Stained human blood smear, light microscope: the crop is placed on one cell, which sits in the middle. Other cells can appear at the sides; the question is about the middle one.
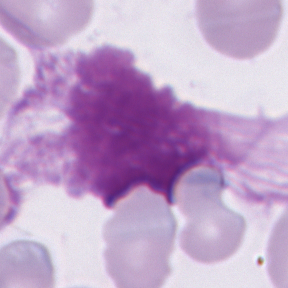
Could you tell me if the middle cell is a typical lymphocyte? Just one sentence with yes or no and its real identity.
No, the centrally placed cell is a smudge cell, not a typical lymphocyte.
